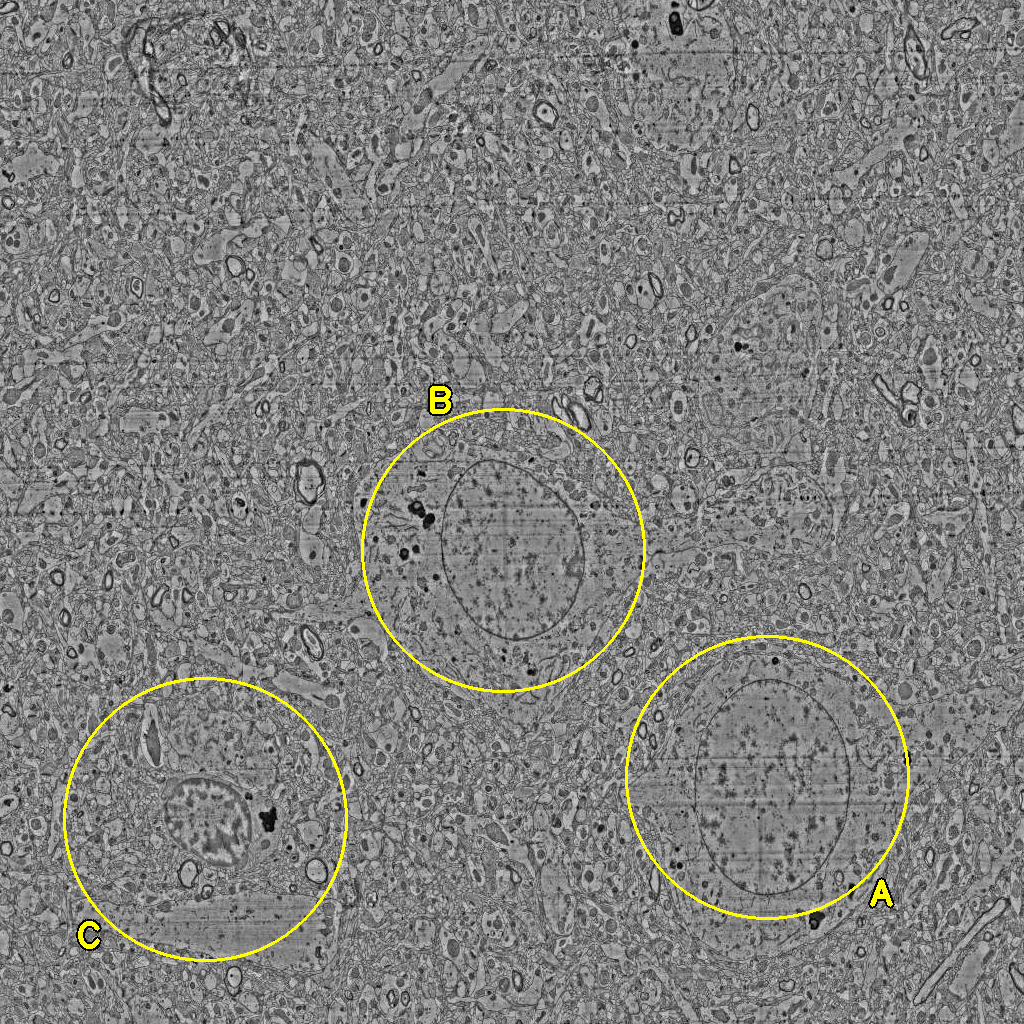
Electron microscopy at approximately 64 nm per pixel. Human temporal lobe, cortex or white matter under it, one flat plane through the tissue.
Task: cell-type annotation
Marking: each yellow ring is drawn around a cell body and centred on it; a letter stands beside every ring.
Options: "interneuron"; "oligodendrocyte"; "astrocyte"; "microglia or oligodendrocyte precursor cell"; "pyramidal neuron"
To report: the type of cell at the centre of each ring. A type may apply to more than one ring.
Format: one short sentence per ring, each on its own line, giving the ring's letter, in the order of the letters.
Ring A is centred on a pyramidal neuron.
Ring B is centred on a pyramidal neuron.
Ring C is centred on an oligodendrocyte.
